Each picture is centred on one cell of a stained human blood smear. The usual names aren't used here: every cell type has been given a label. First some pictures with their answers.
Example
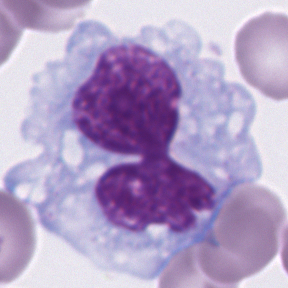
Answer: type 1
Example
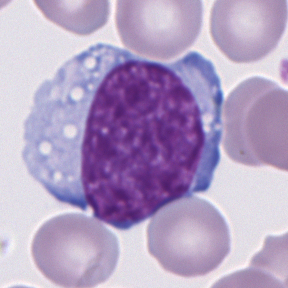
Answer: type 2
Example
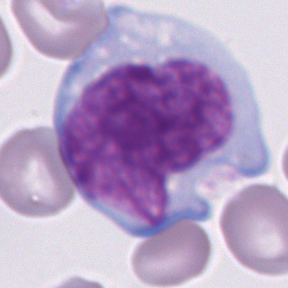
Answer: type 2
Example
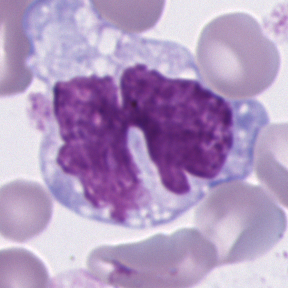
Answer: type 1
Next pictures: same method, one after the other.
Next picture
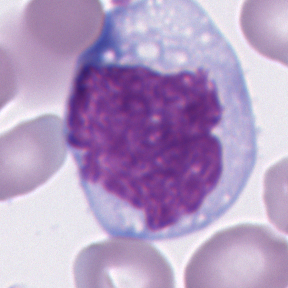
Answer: type 1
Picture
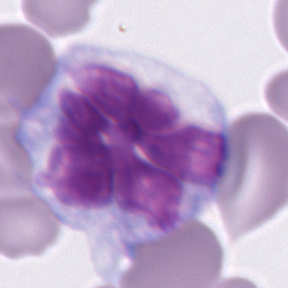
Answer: type 1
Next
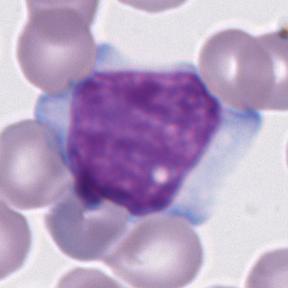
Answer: type 2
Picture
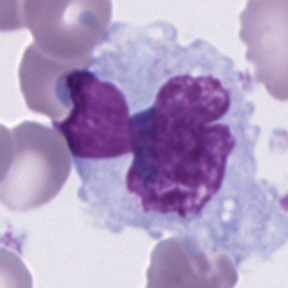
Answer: type 1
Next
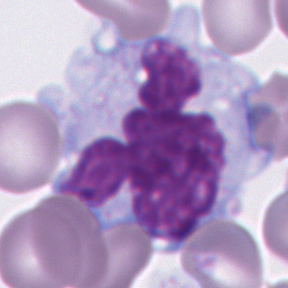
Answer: type 1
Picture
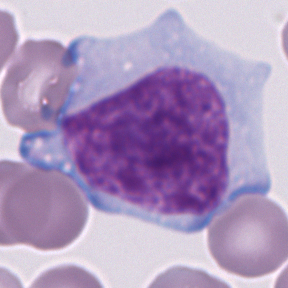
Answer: type 2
